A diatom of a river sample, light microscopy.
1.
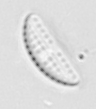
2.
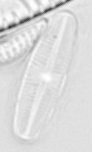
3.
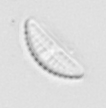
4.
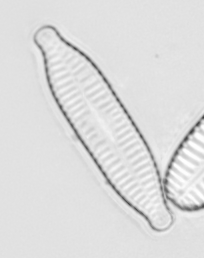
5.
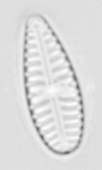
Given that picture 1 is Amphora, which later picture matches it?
3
